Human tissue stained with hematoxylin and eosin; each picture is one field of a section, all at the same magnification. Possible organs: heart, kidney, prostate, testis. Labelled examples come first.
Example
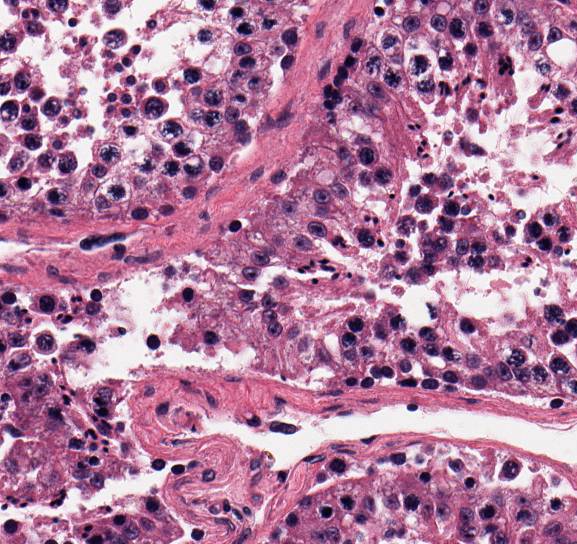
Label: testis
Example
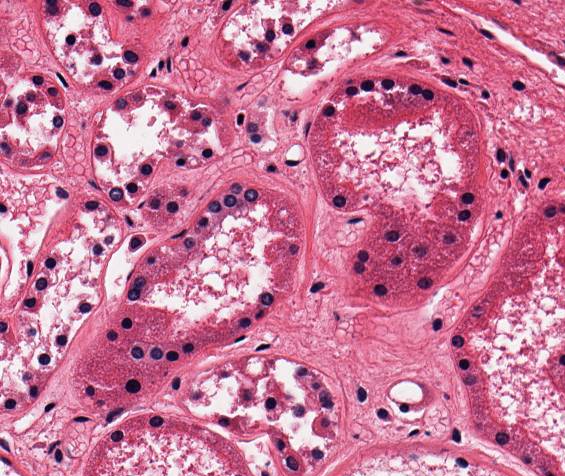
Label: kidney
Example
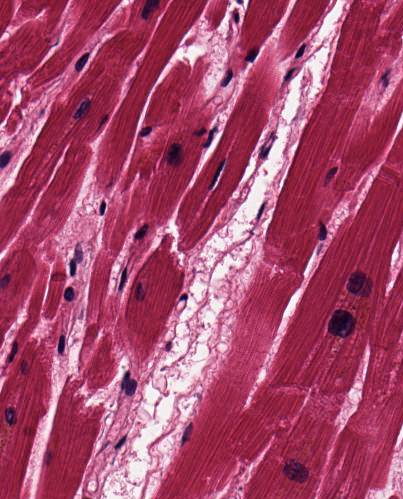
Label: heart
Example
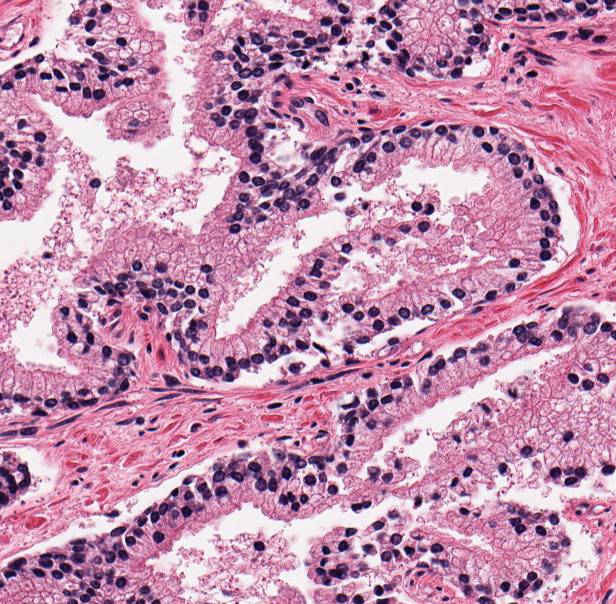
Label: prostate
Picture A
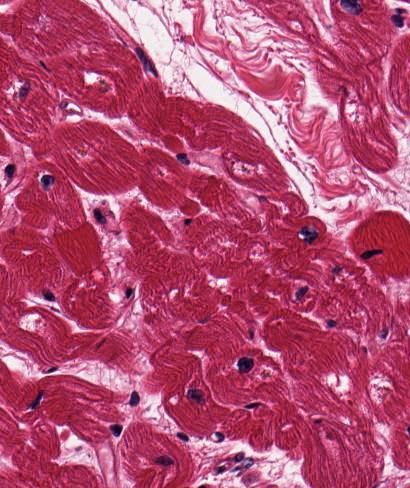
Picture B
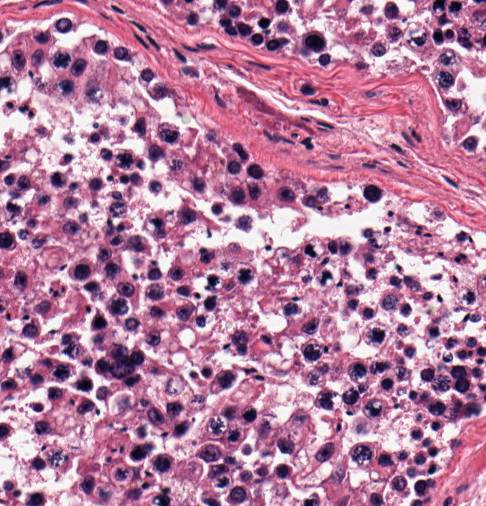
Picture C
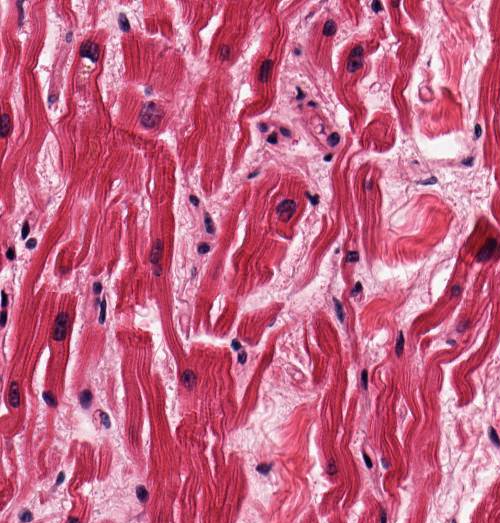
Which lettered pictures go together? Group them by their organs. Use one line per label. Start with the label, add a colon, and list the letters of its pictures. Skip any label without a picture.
heart: A, C
testis: B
